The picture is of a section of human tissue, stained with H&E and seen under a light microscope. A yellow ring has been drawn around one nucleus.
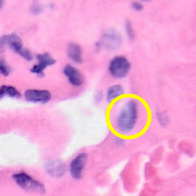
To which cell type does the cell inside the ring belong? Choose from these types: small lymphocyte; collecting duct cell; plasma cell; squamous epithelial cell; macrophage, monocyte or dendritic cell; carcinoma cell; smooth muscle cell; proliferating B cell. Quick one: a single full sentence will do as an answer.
In cellular terms, the cell inside the ring is a collecting duct cell.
